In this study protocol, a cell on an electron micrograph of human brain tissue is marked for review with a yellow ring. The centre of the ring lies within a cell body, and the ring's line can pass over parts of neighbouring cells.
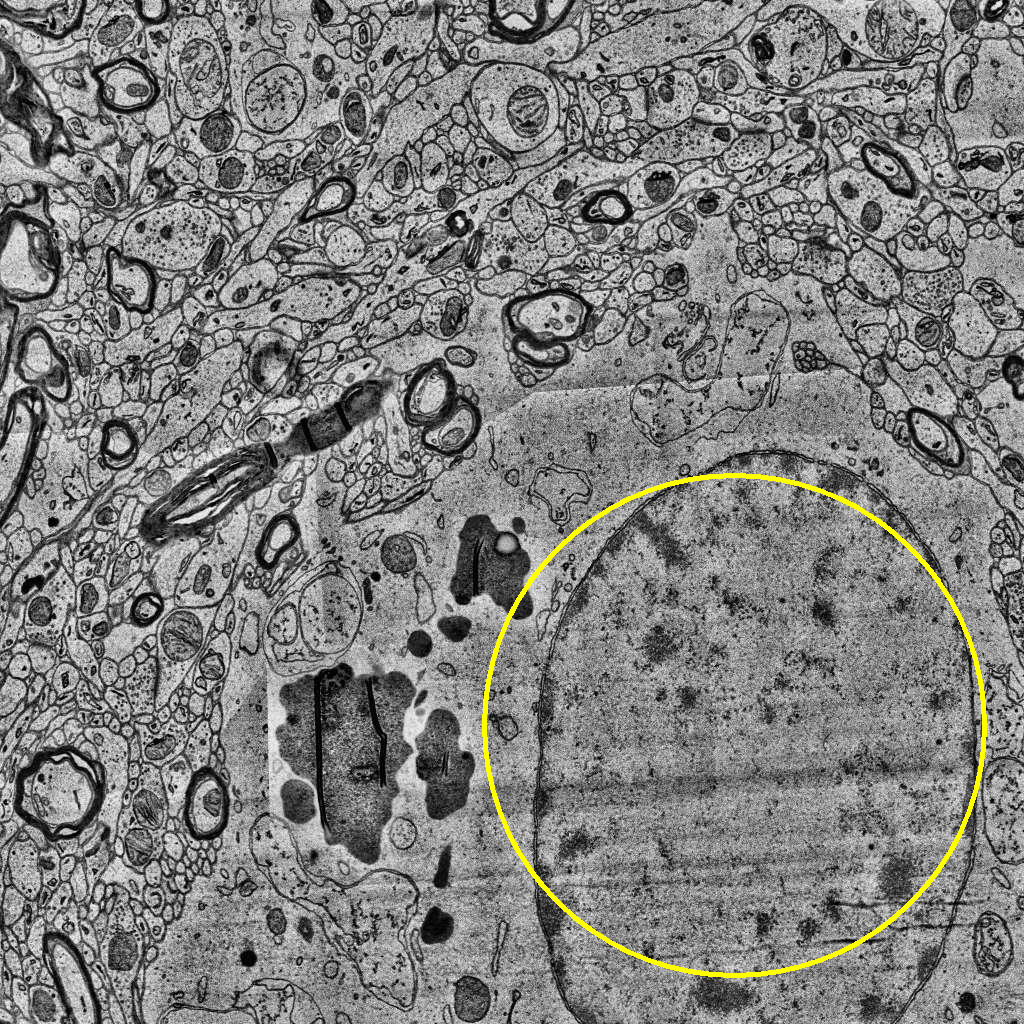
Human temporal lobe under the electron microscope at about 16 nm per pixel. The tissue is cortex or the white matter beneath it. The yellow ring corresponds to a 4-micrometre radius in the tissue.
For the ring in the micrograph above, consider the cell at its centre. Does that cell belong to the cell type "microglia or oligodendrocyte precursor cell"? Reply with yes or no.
no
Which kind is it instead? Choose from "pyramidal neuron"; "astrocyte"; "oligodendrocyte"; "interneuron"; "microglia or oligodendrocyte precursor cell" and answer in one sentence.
Instead, the cell at the centre of the ring is an astrocyte.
